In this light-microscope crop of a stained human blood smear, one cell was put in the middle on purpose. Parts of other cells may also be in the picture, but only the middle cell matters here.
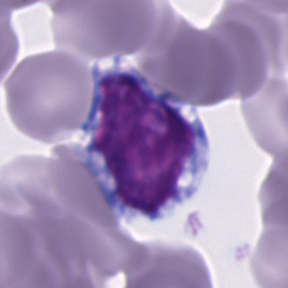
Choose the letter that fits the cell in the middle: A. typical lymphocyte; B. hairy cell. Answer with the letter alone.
A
